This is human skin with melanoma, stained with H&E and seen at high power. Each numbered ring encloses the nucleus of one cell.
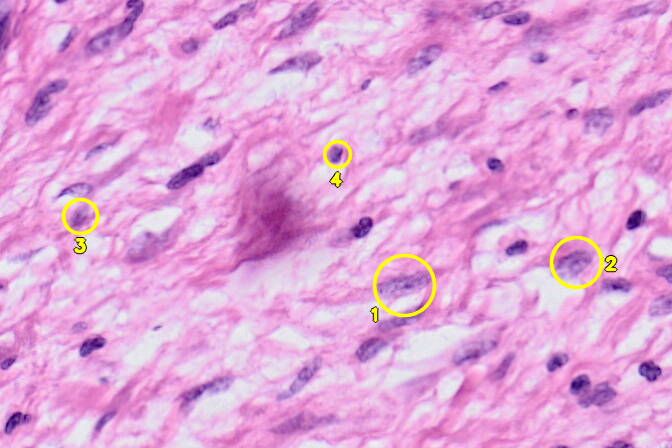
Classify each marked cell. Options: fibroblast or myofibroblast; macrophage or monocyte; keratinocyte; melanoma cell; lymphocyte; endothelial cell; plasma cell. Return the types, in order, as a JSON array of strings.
["fibroblast or myofibroblast", "fibroblast or myofibroblast", "fibroblast or myofibroblast", "lymphocyte"]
